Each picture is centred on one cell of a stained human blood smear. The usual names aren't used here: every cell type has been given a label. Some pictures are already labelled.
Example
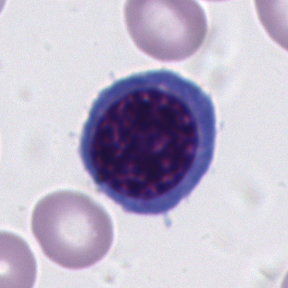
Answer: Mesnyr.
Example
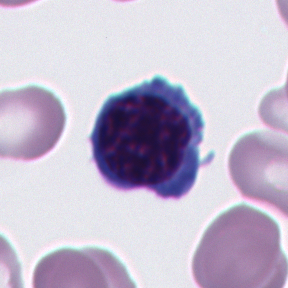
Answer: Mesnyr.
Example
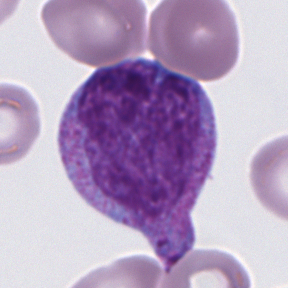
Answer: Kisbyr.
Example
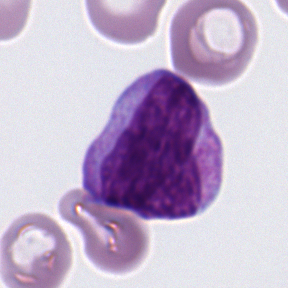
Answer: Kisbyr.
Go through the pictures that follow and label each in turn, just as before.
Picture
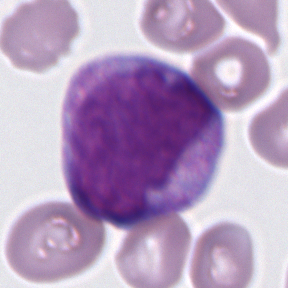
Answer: Kisbyr.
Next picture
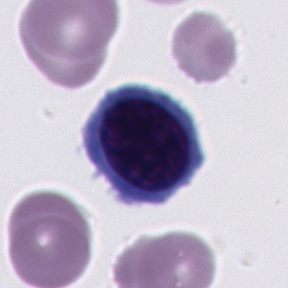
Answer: Mesnyr.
